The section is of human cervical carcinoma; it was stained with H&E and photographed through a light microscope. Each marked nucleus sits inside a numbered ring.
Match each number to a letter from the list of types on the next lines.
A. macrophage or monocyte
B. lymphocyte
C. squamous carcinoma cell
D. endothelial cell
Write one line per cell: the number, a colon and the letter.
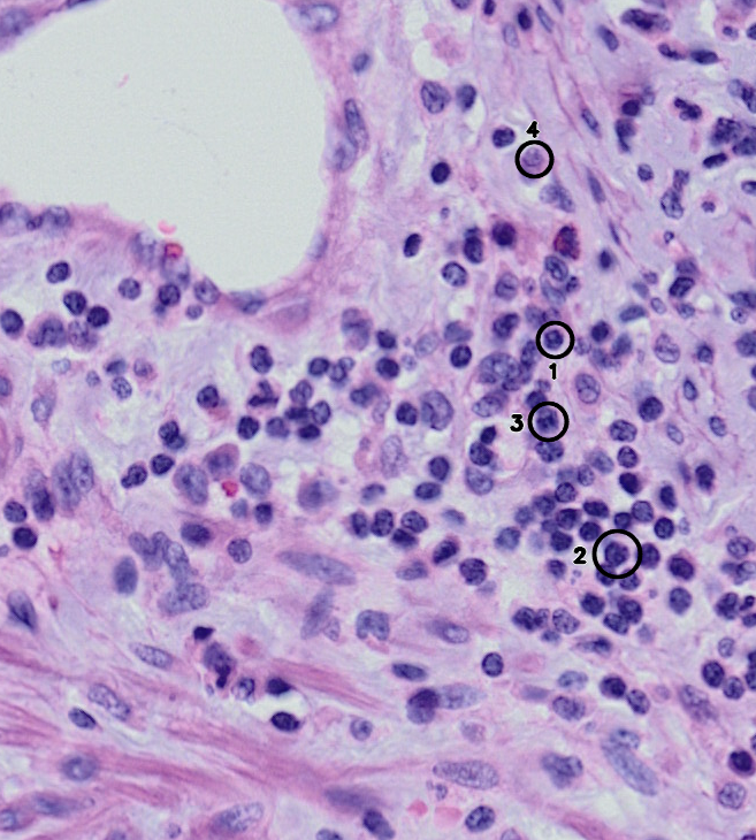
1: B
2: B
3: B
4: A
